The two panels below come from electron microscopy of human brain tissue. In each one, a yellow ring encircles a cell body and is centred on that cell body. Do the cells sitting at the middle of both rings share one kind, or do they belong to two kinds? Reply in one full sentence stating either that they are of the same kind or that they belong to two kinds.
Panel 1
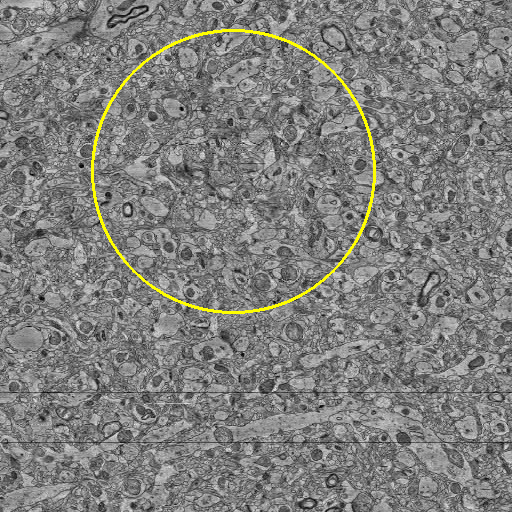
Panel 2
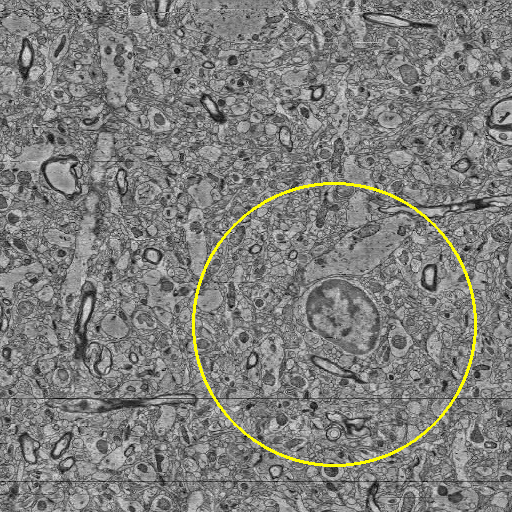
The cells at the centres of the two rings are of the same kind.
